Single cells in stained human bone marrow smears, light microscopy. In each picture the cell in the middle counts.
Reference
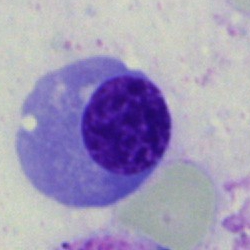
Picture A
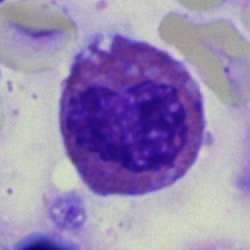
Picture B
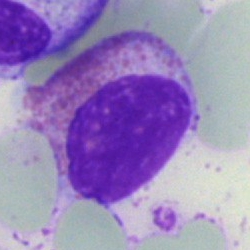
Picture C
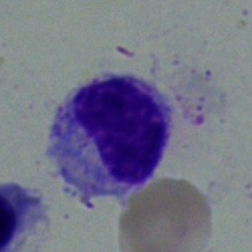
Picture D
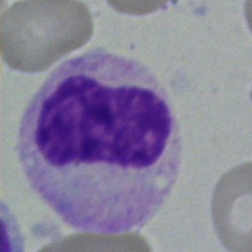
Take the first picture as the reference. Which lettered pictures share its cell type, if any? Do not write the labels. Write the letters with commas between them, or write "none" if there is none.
none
